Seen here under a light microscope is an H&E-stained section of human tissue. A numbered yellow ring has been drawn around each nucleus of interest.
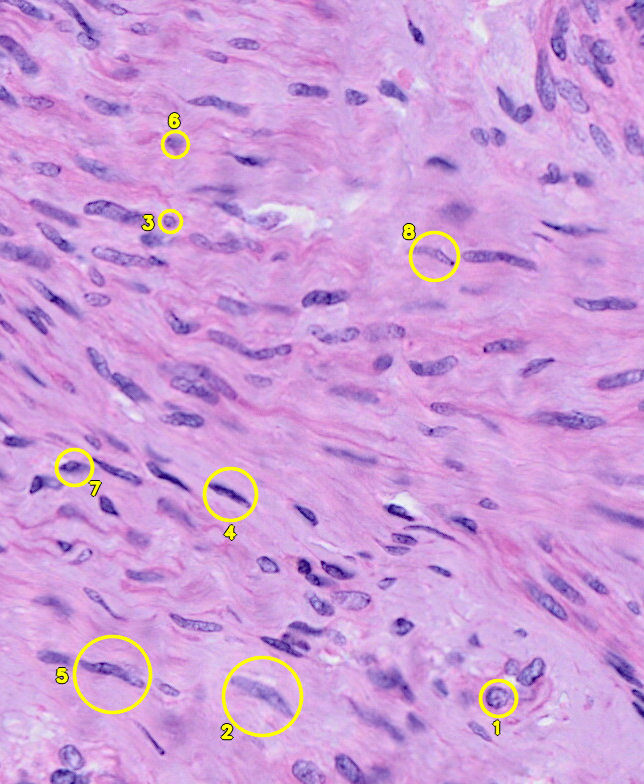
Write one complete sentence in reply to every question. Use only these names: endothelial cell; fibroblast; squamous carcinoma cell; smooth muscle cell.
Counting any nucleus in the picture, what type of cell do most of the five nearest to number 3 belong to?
Most of the five nuclei nearest to number 3 are those of fibroblasts.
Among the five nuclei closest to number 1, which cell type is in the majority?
The majority of the five nuclei closest to number 1 belong to endothelial cells.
